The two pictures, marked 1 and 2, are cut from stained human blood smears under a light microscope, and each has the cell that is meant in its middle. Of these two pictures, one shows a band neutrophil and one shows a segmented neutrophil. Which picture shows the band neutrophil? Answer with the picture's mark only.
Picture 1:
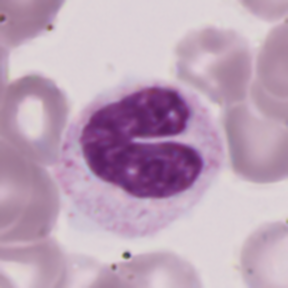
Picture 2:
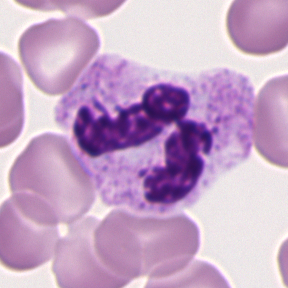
1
